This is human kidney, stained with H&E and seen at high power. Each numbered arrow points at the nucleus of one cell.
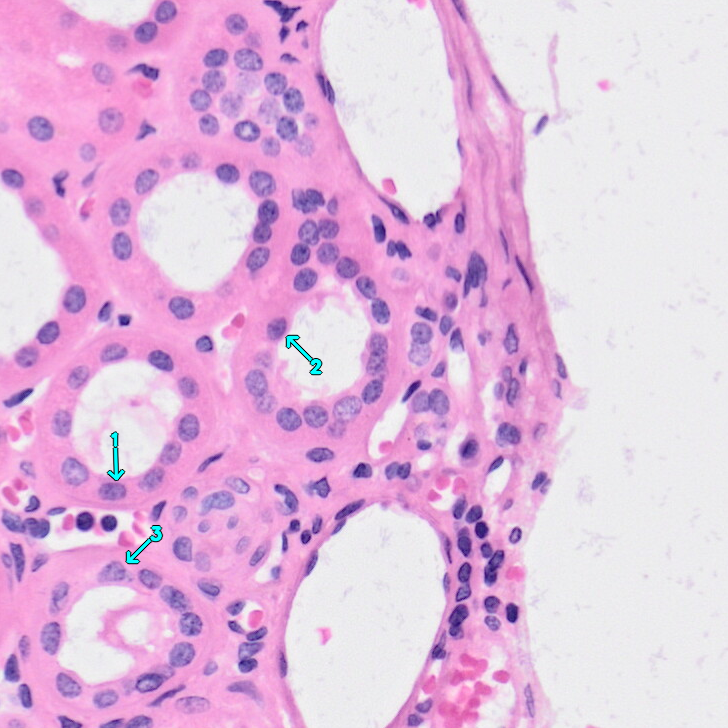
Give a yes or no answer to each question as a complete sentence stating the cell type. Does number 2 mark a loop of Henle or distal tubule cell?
Yes, the cell with number 2 is a loop of Henle or distal tubule cell.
